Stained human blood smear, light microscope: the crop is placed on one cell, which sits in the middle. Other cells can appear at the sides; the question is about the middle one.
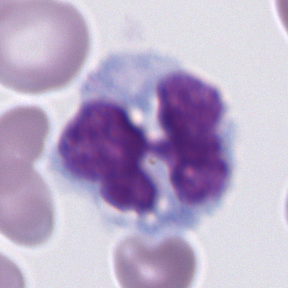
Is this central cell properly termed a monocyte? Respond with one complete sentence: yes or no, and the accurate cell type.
Yes, the identification of the central cell as a monocyte is correct.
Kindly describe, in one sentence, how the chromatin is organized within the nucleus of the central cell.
The chromatin of this one is coarsely clumped.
